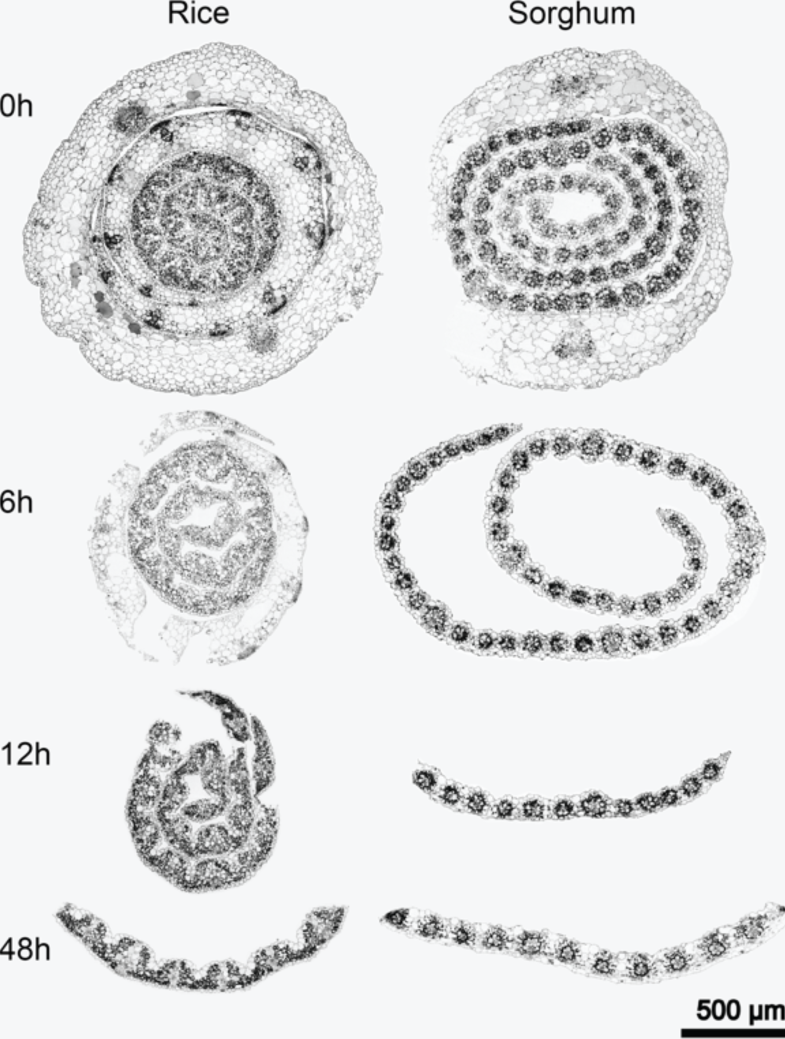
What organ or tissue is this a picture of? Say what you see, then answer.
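Thin, blade-like sections, some rolled into concentric layers. On this evidence: leaf.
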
